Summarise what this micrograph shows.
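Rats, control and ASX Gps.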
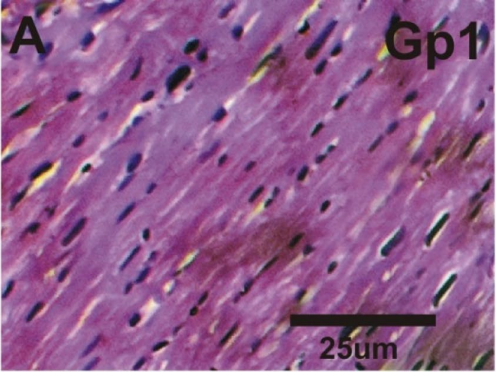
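This is normal heart muscle, with long pink-purple muscle fibres running in orderly parallel rows. Their nuclei are elongated and oval, sitting within the fibres along their length. Only narrow clefts separate the fibres, where a few slender nuclei of the supporting connective tissue can be seen, and there are no clusters of inflammatory cells.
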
